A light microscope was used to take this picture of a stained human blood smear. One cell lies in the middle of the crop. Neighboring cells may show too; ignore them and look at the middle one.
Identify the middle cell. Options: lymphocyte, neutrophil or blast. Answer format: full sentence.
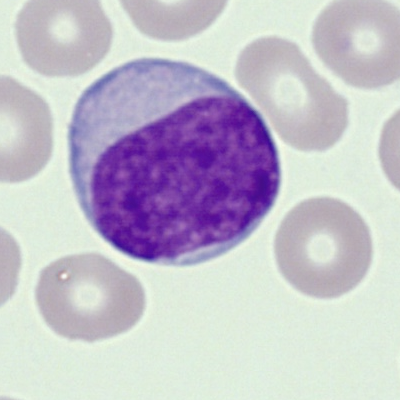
The cell at the middle of the crop is recognized as a blast.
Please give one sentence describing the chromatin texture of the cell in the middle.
Here the nuclear chromatin is coarsely clumped.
